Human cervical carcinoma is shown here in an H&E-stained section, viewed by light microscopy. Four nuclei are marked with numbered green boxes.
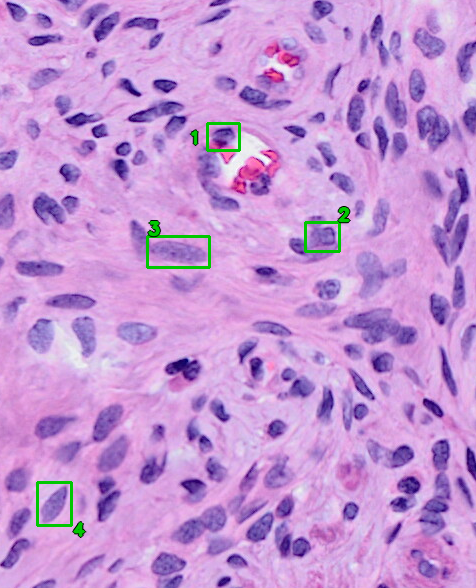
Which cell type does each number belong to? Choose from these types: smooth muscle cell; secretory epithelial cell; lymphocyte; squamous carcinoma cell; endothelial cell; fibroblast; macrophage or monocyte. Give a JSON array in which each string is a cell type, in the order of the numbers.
["endothelial cell", "fibroblast", "fibroblast", "fibroblast"]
